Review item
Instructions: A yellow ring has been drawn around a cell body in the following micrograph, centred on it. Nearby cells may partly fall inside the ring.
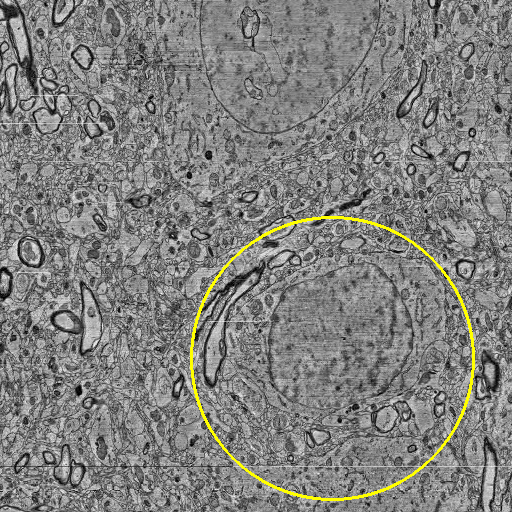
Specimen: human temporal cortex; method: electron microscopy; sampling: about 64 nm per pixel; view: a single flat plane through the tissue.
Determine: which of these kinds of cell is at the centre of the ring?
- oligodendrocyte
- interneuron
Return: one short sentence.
The cell body in the middle of the ring is that of an interneuron.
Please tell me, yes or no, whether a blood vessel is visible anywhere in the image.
No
